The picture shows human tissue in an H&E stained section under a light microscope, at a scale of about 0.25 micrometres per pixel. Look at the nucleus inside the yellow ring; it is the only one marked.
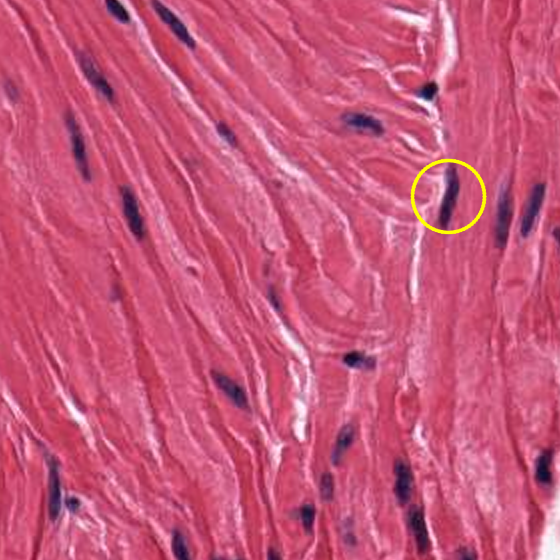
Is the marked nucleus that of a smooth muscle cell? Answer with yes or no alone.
yes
